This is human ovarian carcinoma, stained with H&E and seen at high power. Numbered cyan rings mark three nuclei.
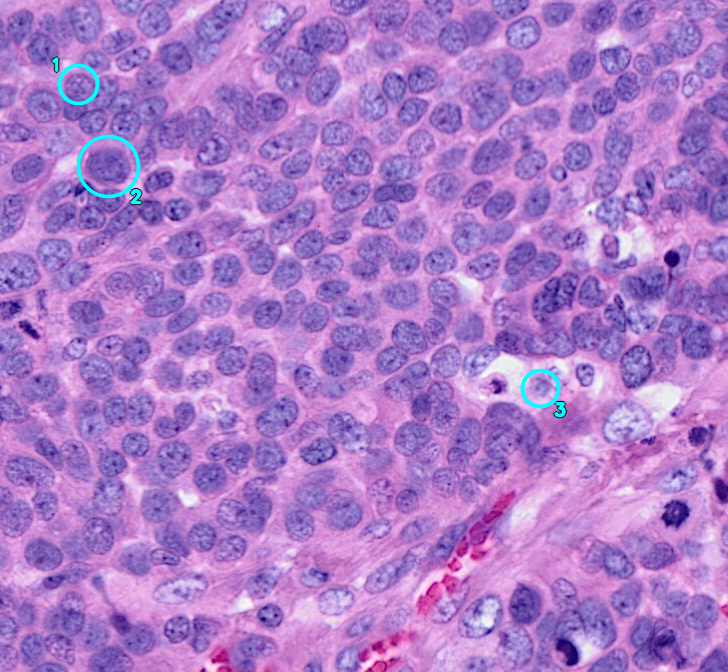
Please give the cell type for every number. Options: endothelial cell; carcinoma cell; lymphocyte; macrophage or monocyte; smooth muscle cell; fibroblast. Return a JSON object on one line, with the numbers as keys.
{"1": "carcinoma cell", "2": "carcinoma cell", "3": "macrophage or monocyte"}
